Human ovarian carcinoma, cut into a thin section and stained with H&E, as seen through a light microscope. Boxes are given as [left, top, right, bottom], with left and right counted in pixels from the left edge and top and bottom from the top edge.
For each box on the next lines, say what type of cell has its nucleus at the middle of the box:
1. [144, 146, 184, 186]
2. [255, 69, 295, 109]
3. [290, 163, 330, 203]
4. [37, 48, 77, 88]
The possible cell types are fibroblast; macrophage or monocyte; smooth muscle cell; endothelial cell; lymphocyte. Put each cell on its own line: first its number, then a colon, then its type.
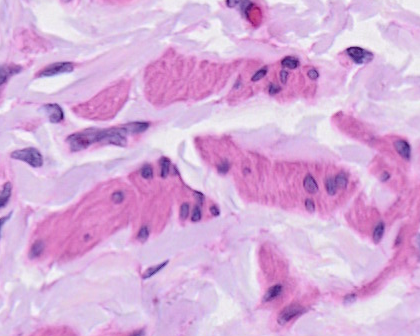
1: smooth muscle cell
2: smooth muscle cell
3: smooth muscle cell
4: fibroblast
